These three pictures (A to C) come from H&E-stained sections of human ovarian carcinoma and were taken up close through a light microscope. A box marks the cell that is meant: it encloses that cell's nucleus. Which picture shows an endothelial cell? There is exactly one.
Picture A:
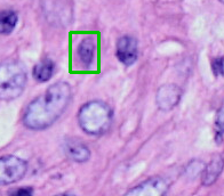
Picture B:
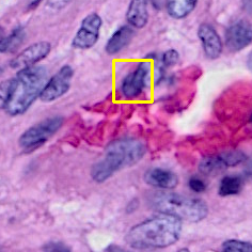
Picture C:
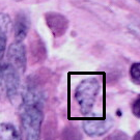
B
